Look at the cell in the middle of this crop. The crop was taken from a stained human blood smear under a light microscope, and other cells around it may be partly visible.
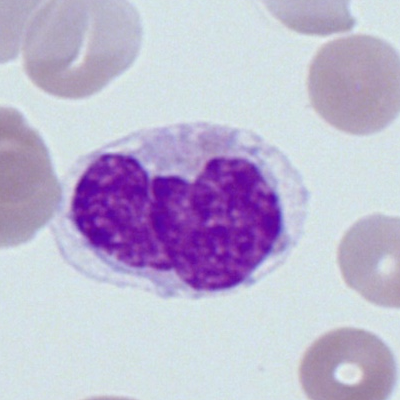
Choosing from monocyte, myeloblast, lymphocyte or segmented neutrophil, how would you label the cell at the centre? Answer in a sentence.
The cell in the middle of this crop is a monocyte.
